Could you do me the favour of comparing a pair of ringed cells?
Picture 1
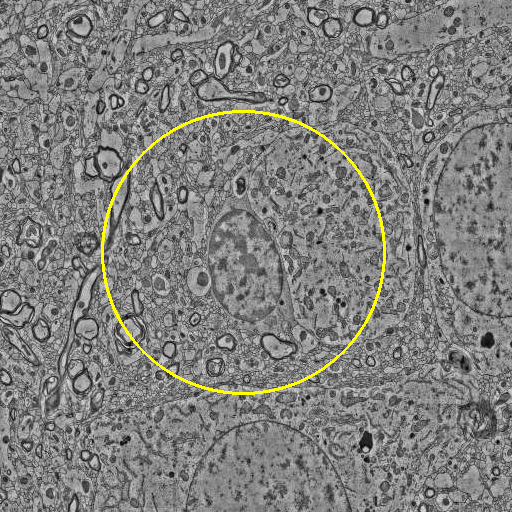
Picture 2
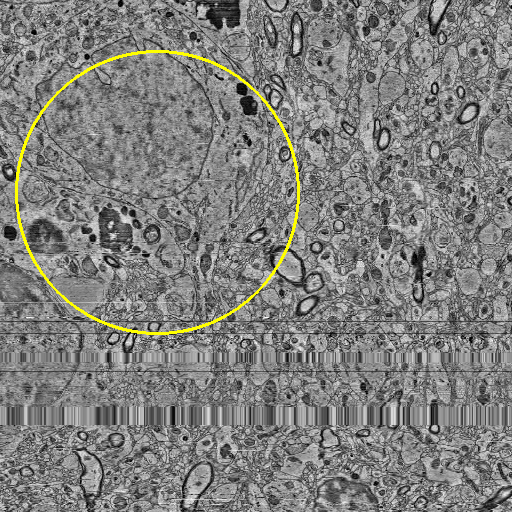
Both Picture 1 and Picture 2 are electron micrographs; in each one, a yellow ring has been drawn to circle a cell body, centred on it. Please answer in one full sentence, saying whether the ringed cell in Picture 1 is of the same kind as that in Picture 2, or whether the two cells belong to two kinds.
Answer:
The ringed cells in Picture 1 and Picture 2 belong to two kinds.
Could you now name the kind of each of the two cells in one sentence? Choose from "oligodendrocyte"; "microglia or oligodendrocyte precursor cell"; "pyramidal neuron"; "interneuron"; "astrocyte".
The first ring encloses an oligodendrocyte; the second ring encloses a pyramidal neuron.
